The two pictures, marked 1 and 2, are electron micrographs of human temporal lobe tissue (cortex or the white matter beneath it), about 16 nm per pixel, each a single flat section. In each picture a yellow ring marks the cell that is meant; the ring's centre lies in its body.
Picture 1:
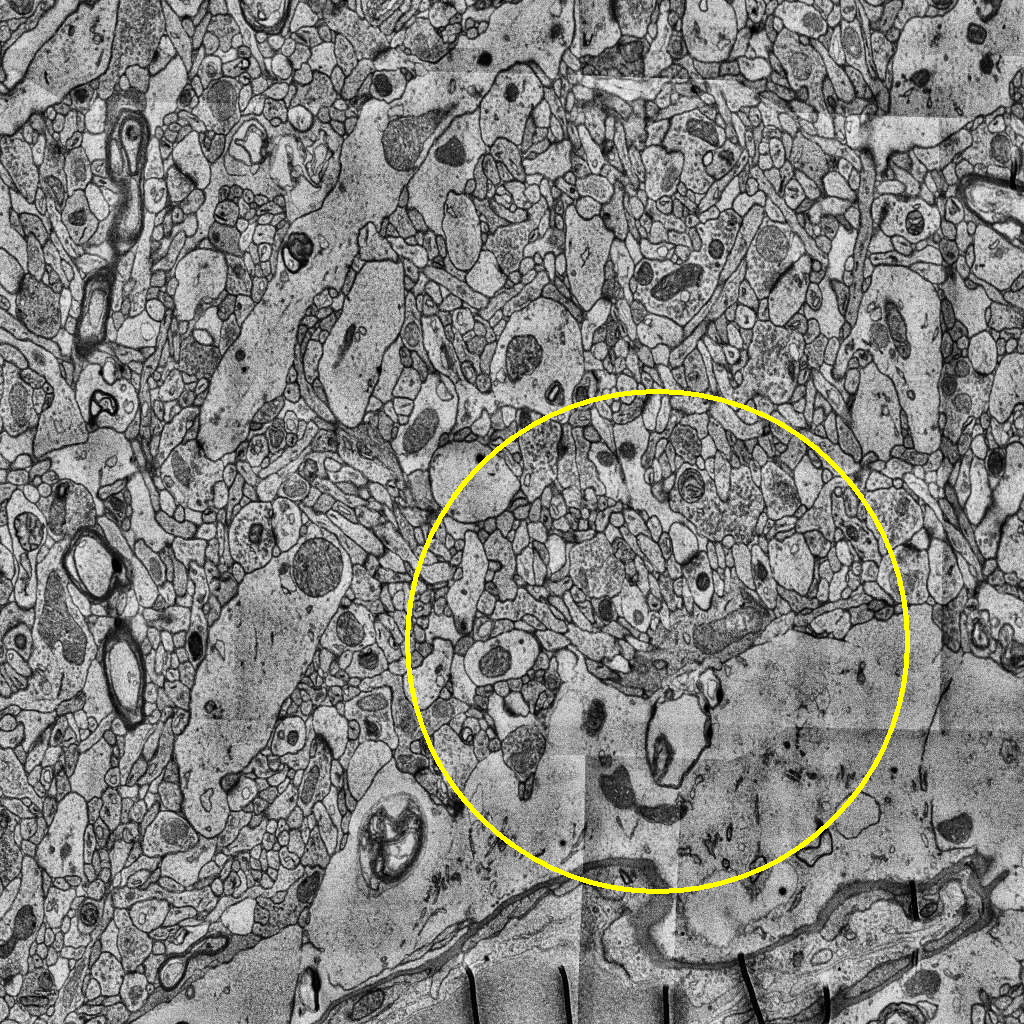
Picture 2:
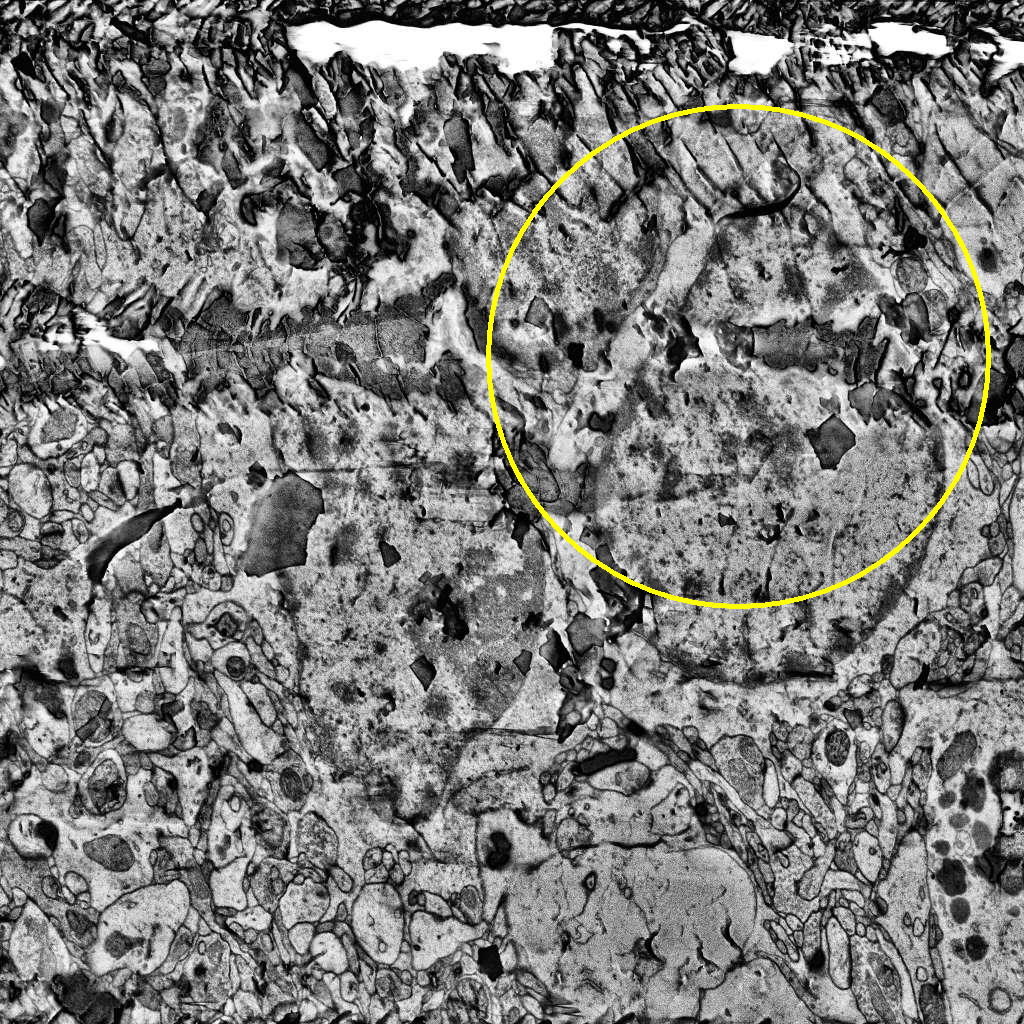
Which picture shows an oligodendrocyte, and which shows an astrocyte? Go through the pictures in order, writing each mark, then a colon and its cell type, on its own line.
1: oligodendrocyte
2: astrocyte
